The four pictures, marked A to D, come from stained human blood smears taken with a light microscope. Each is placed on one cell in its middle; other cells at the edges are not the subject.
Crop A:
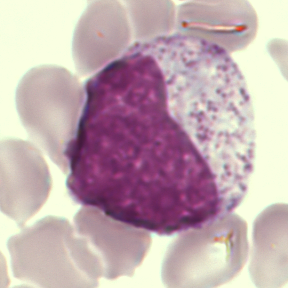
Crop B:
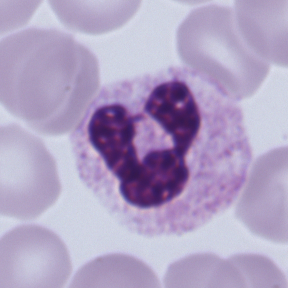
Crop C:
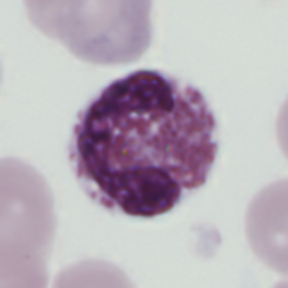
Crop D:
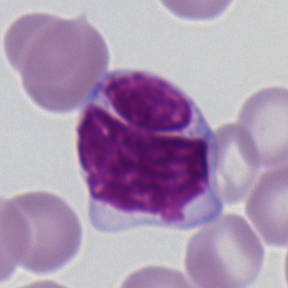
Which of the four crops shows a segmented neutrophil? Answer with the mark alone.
B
